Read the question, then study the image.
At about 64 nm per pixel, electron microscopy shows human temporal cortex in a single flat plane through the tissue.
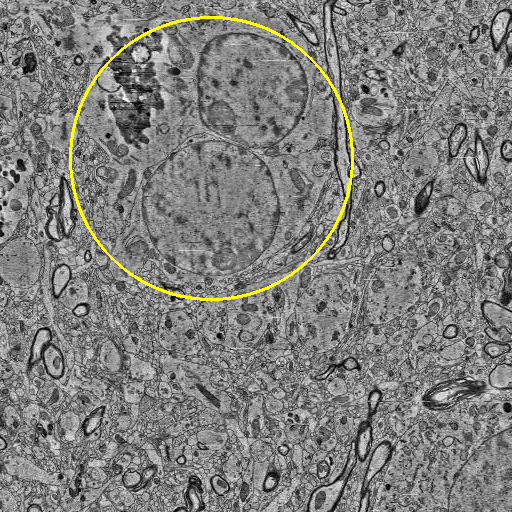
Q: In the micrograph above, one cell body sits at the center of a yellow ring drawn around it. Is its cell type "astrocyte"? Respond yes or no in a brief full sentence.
Yes, its cell type is that one.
